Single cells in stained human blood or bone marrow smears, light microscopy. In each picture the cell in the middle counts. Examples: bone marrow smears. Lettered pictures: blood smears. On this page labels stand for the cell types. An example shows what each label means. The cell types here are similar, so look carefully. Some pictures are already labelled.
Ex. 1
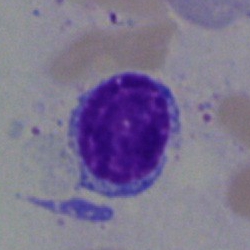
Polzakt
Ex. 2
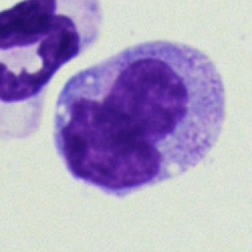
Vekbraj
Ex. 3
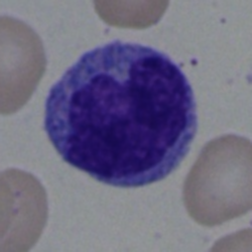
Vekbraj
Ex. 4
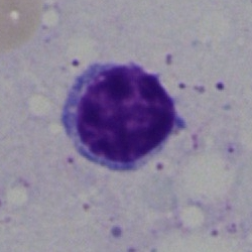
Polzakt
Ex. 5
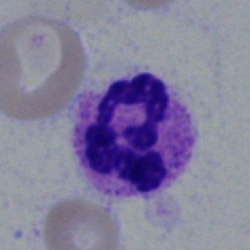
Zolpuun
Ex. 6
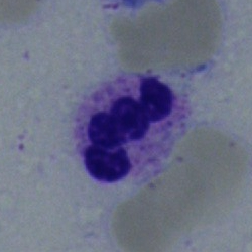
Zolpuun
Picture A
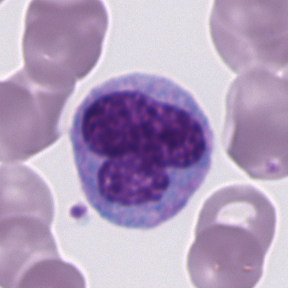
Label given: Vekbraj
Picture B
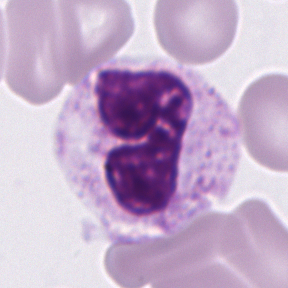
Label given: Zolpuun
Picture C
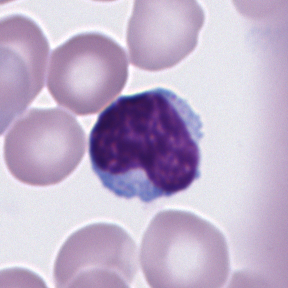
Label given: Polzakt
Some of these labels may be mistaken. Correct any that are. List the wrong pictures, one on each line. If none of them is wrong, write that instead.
All correct.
